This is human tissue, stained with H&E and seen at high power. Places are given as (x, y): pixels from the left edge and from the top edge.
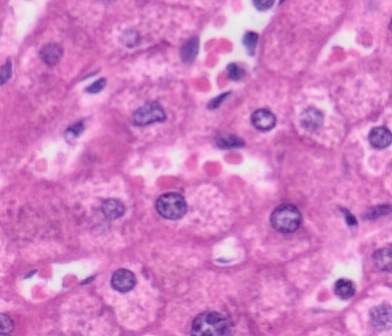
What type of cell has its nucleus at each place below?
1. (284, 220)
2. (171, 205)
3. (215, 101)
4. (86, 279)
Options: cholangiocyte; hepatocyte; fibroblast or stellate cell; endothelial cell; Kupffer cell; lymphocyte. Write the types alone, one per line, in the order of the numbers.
hepatocyte
hepatocyte
endothelial cell
endothelial cell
